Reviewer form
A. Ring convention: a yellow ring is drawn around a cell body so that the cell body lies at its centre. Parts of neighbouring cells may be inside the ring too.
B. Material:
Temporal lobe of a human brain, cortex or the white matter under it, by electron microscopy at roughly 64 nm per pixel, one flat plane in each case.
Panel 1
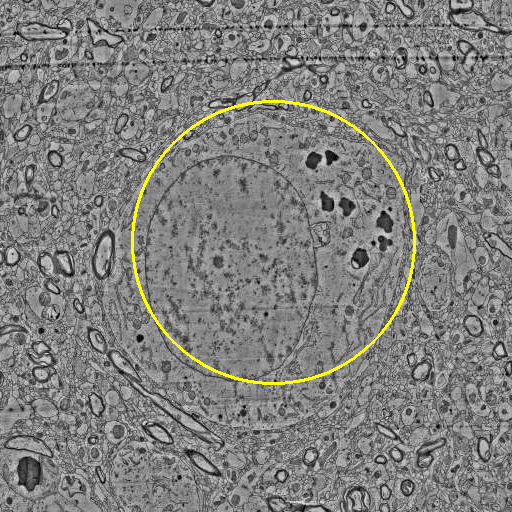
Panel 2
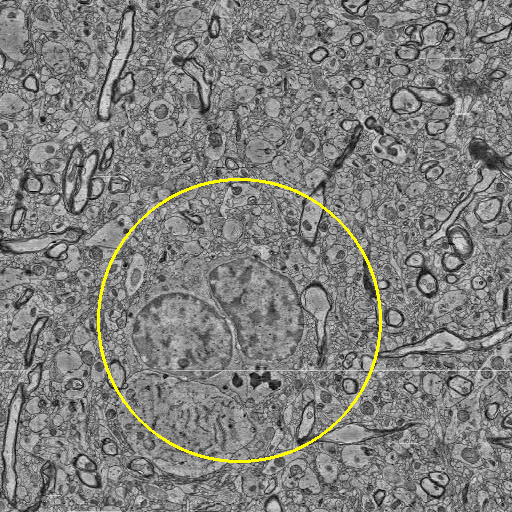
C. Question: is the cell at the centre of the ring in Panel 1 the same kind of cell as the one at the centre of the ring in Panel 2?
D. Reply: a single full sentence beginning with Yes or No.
No, the cells in Panel 1 and Panel 2 are two kinds of cell.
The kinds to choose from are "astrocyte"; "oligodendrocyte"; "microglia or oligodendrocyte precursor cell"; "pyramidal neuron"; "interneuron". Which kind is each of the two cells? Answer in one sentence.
Of the two, the first cell is a pyramidal neuron and the second cell is an oligodendrocyte.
